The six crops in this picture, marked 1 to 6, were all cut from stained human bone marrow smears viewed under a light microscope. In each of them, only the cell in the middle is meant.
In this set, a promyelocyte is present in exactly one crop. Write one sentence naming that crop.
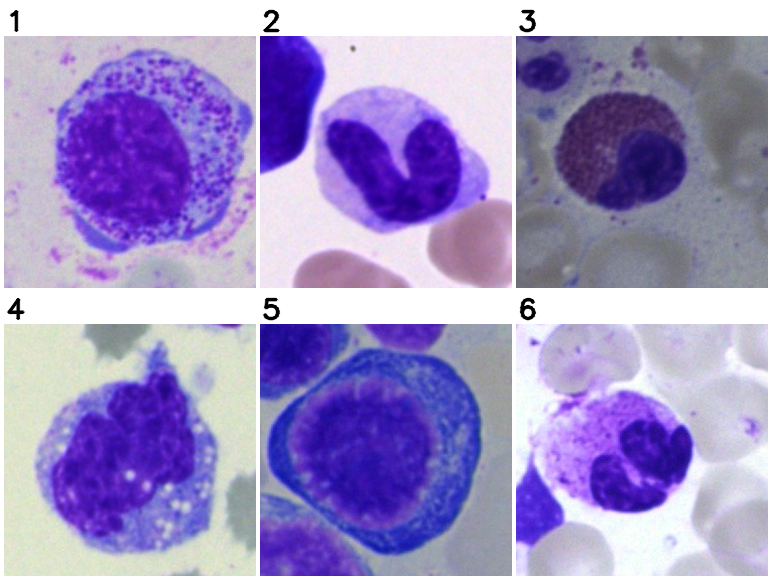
Crop 1 is the one in this set that shows a promyelocyte.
